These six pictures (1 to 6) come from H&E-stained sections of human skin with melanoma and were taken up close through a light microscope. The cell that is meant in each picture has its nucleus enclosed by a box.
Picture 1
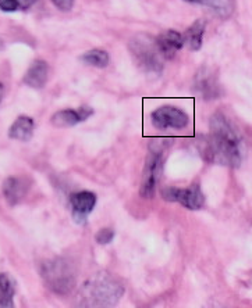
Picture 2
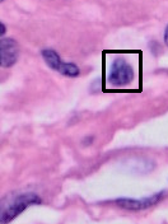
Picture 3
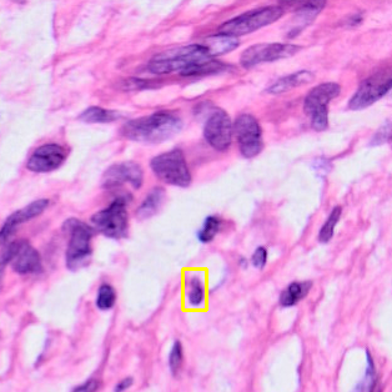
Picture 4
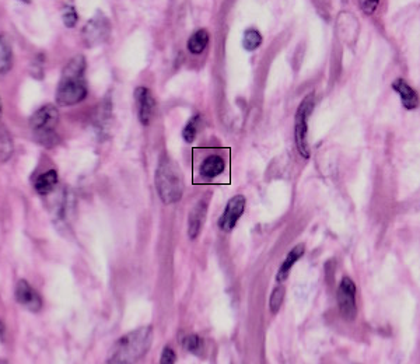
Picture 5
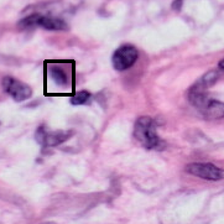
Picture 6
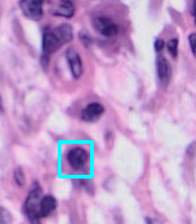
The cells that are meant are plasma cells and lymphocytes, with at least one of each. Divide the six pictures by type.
1: lymphocyte
2: lymphocyte
3: lymphocyte
4: plasma cell
5: plasma cell
6: plasma cell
